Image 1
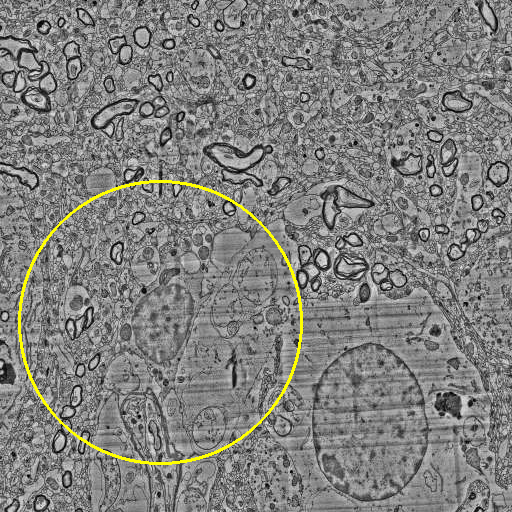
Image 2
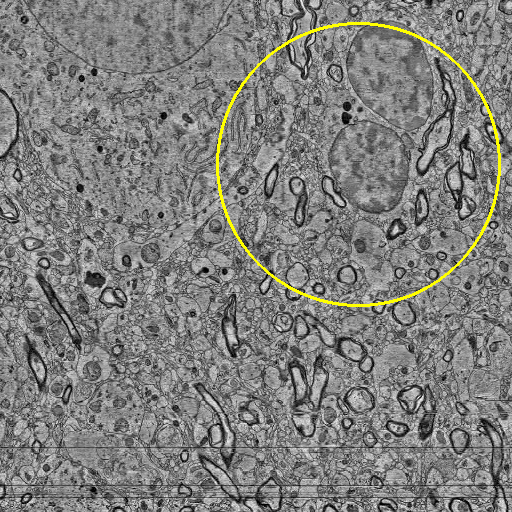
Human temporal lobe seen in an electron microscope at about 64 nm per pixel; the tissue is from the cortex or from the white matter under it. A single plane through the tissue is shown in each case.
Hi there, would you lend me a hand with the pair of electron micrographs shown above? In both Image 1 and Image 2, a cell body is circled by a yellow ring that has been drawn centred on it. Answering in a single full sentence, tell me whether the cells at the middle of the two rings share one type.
Yes, the ringed cells in Image 1 and Image 2 share one type.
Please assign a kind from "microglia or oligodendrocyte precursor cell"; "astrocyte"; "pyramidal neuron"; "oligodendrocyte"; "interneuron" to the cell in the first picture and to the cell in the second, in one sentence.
Each of the two rings is centred on an oligodendrocyte.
